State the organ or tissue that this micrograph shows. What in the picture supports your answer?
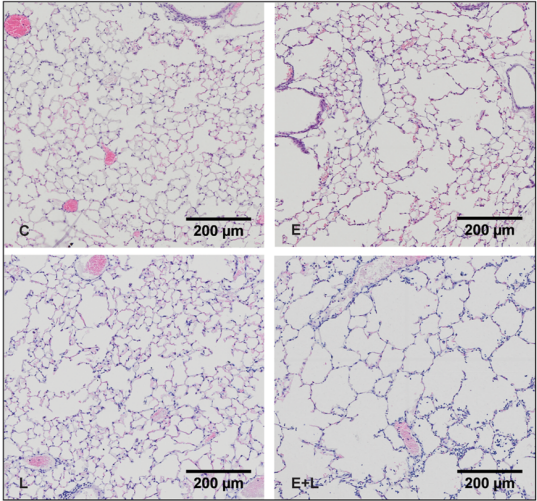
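Spongy tissue of many small thin-walled air spaces. Scattered blood vessels, some filled with red blood cells. Airway and vessel profiles with thicker walls among the air spaces. That points to this answer: Lungs.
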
